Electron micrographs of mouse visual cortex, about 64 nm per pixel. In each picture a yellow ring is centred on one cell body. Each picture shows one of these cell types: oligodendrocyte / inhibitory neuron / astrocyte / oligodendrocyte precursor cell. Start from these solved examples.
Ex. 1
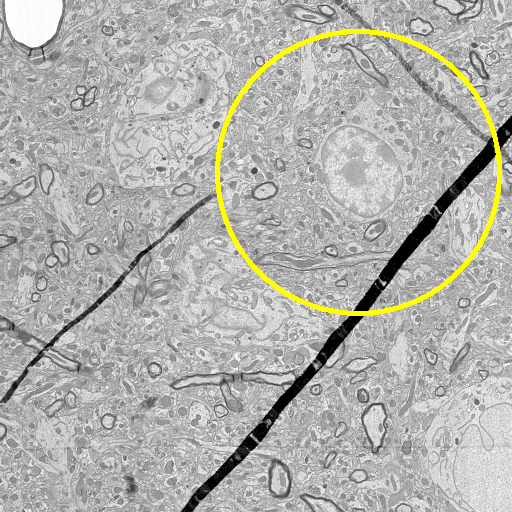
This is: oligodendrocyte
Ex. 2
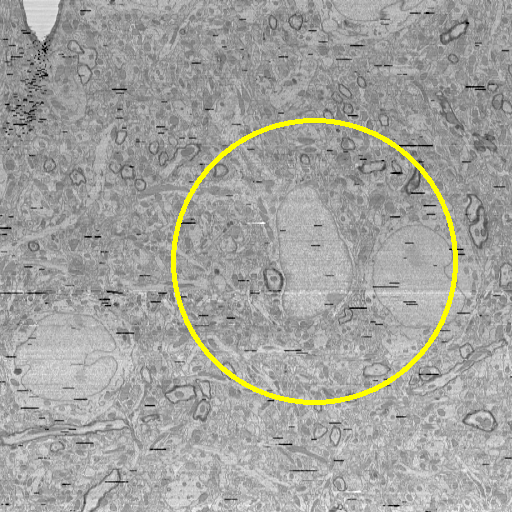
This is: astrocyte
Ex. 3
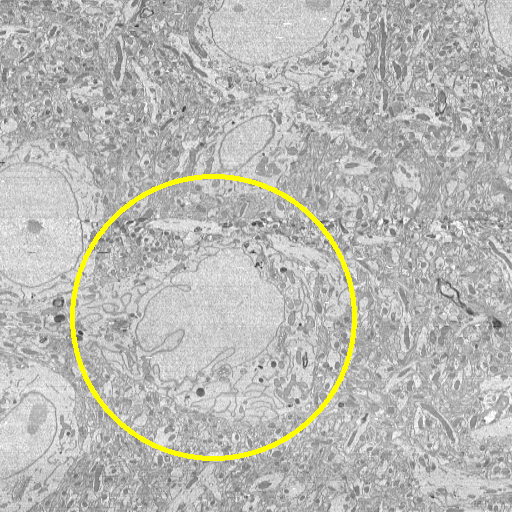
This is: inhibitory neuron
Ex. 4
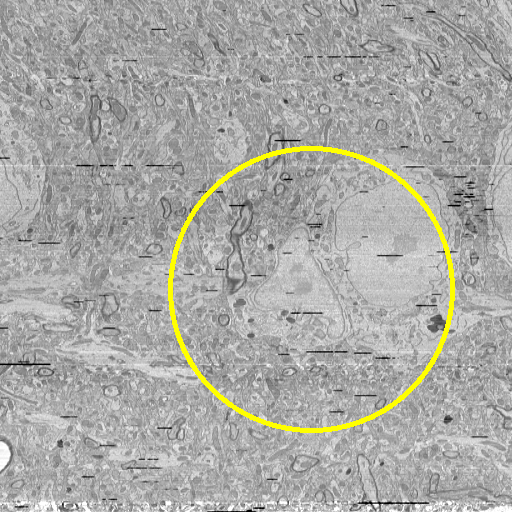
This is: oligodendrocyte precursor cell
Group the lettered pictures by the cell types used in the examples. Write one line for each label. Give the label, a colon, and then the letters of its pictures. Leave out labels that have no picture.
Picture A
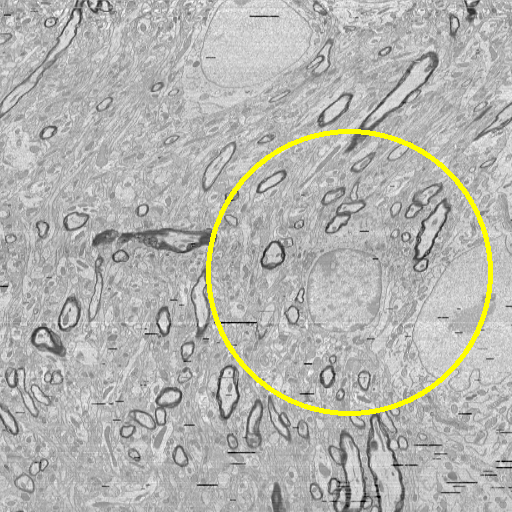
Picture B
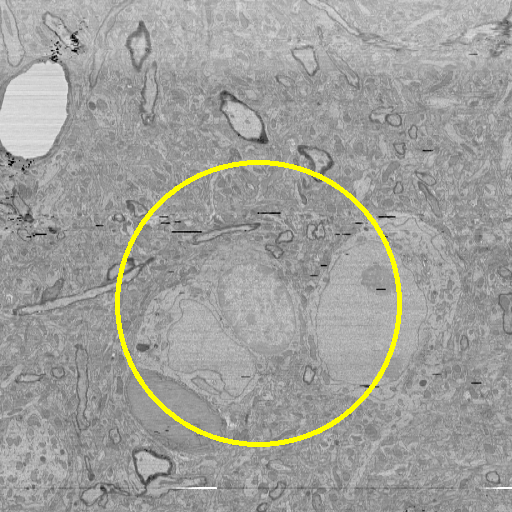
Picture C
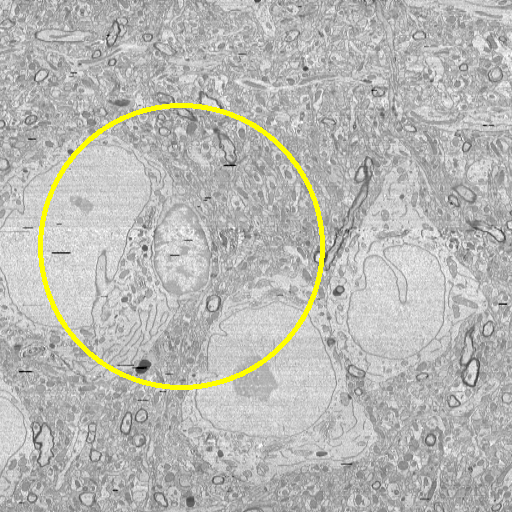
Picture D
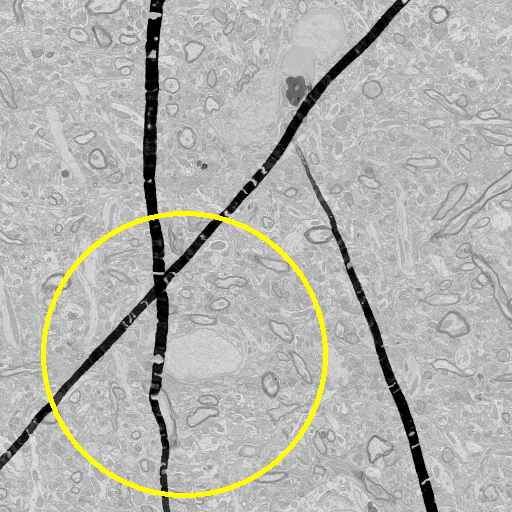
oligodendrocyte: A, B, C
oligodendrocyte precursor cell: D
